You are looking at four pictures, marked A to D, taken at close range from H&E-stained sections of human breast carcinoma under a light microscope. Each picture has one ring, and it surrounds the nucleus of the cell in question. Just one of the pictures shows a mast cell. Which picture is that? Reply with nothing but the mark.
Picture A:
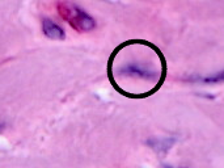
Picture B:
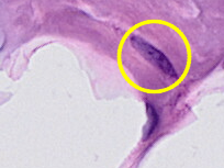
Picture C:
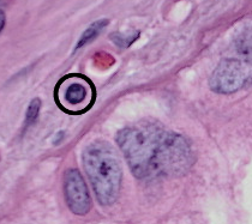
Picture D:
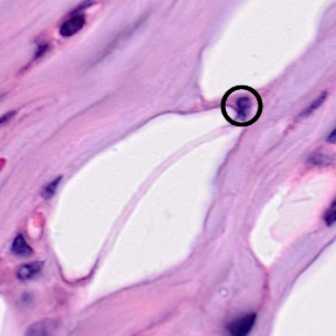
C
